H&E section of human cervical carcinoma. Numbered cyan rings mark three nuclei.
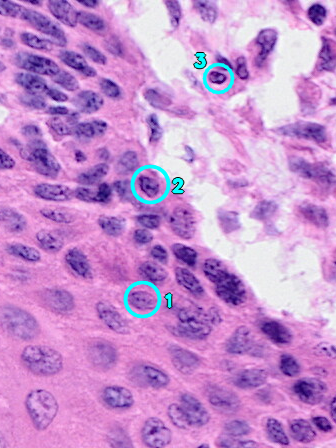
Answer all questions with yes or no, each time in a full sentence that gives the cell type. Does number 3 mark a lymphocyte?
Yes, number 3 corresponds to a lymphocyte.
